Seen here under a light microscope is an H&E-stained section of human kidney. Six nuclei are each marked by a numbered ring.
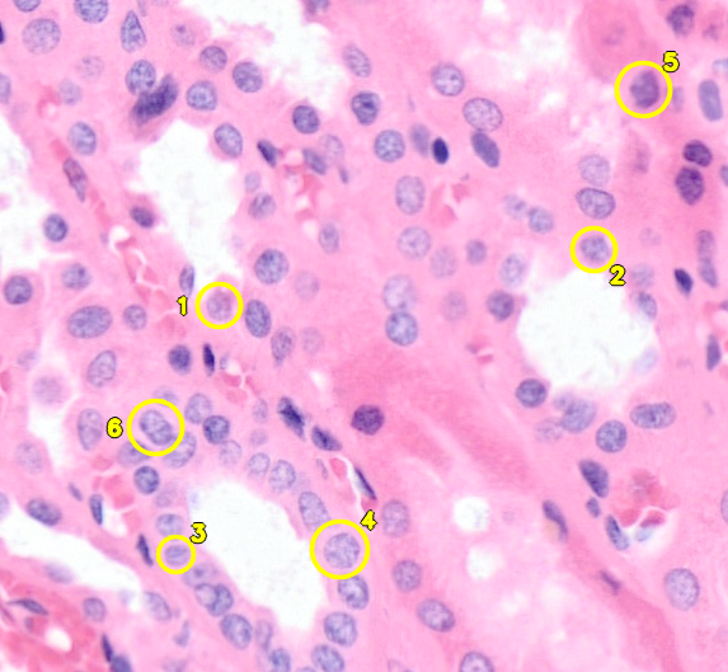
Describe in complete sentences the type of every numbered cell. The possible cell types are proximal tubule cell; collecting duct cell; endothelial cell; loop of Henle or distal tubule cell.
Cells 1 and 2 are loop of Henle or distal tubule cells. Cells 3, 4 and 6 are collecting duct cells. Cell 5 is a proximal tubule cell.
